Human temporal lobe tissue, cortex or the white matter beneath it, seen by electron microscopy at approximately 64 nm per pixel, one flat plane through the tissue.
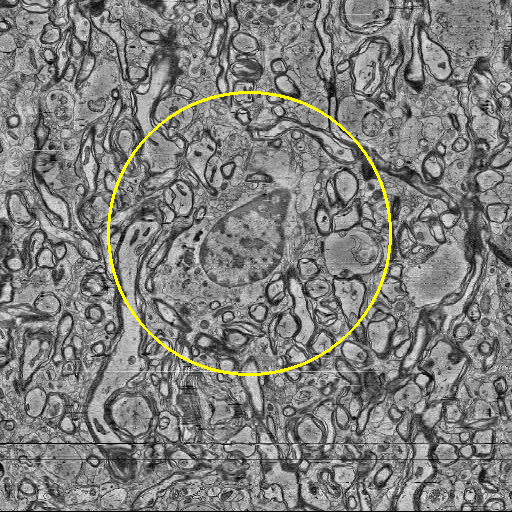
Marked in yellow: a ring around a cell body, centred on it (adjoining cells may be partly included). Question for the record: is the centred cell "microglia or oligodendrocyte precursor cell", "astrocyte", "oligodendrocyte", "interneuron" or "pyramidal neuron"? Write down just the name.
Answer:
microglia or oligodendrocyte precursor cell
